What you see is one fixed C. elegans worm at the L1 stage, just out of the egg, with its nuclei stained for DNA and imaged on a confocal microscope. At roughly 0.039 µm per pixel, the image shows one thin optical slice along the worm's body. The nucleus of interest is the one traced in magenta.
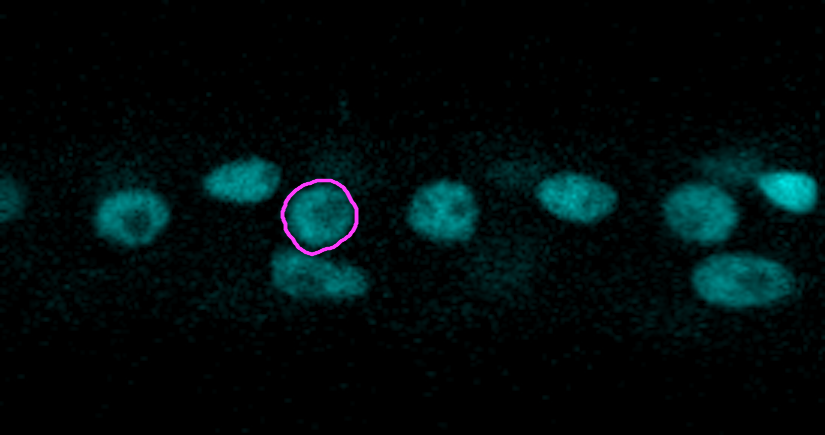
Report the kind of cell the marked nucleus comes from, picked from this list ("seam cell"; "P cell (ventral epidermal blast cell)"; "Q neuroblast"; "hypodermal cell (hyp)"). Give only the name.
seam cell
